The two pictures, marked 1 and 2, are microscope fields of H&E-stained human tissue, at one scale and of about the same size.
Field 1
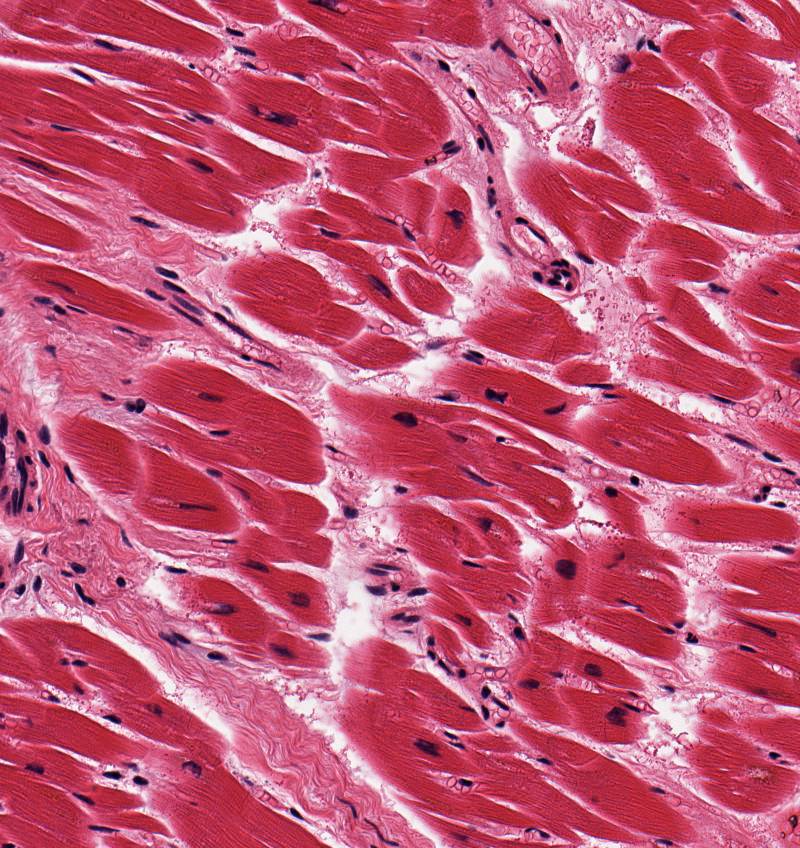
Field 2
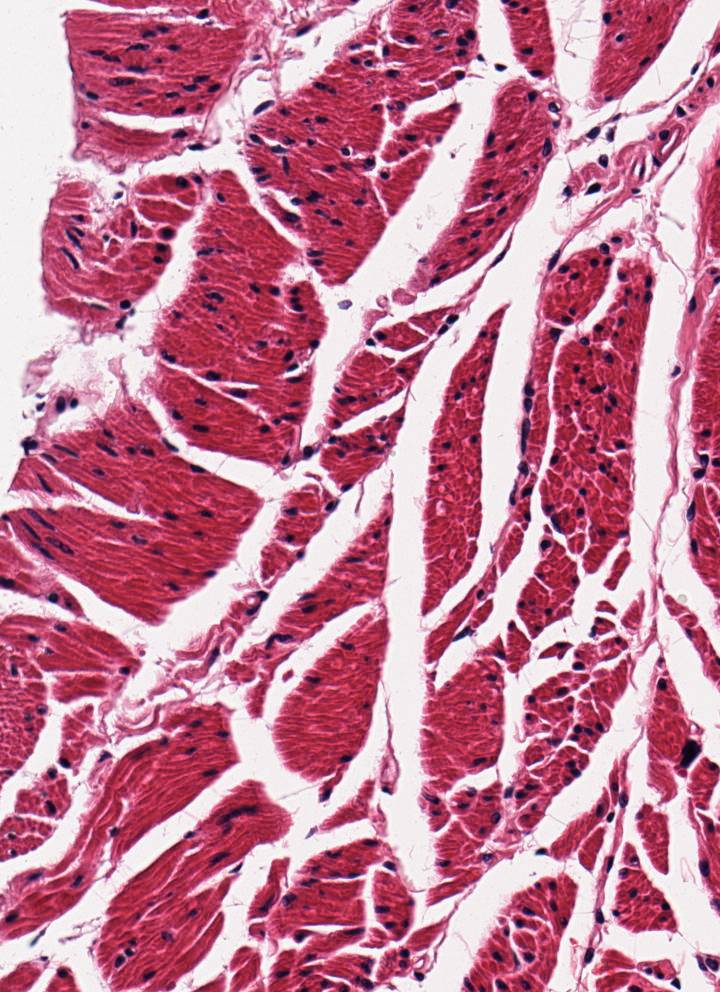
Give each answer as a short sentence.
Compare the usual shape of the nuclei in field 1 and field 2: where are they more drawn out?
Longer, more slender nuclei lie in field 1.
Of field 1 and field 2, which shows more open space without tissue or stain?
Field 2 has more white space.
